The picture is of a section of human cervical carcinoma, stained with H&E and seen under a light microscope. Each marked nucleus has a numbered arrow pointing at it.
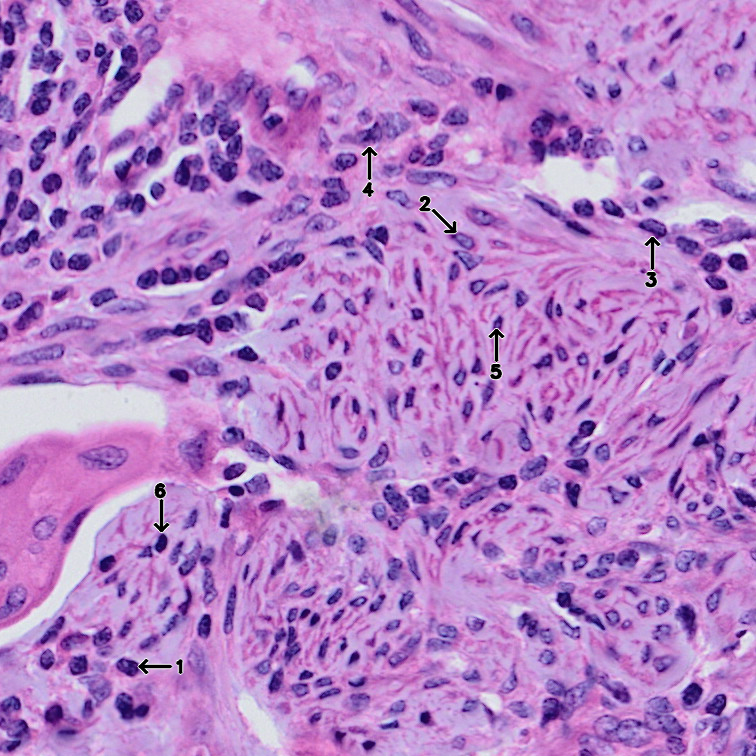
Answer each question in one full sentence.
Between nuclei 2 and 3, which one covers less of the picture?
Nucleus 2 covers less area, with nucleus 3 about 1.5 times as large.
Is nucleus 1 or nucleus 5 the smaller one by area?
With nucleus 1 about 4 times its size, nucleus 5 is the smaller of the two.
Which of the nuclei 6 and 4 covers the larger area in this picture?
At about 2.5 times the area of nucleus 6, nucleus 4 is the larger of the two.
